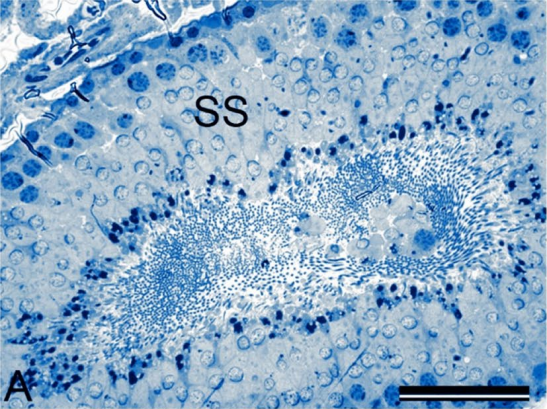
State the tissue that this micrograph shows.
Seminiferous tubules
